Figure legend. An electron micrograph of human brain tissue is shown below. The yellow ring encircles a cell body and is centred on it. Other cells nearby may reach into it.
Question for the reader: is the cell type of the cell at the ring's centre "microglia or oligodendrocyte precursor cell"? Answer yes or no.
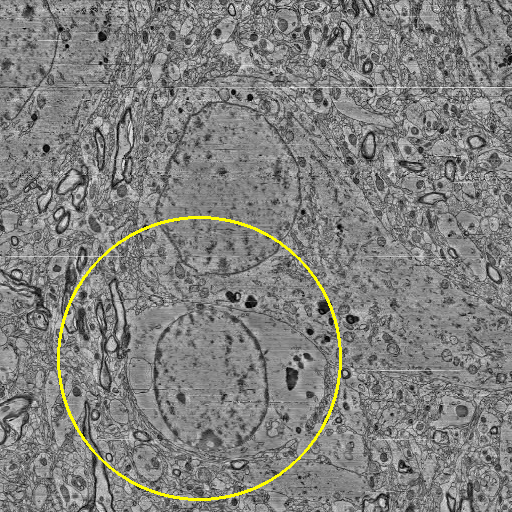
no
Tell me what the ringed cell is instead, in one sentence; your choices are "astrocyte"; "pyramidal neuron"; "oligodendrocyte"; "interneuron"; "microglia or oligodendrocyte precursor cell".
Instead, the cell inside the ring is an astrocyte.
